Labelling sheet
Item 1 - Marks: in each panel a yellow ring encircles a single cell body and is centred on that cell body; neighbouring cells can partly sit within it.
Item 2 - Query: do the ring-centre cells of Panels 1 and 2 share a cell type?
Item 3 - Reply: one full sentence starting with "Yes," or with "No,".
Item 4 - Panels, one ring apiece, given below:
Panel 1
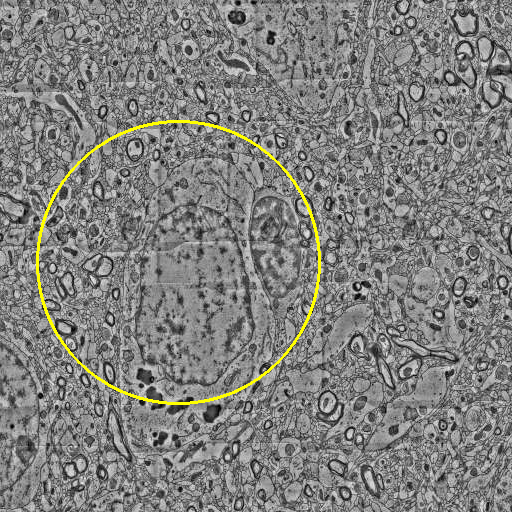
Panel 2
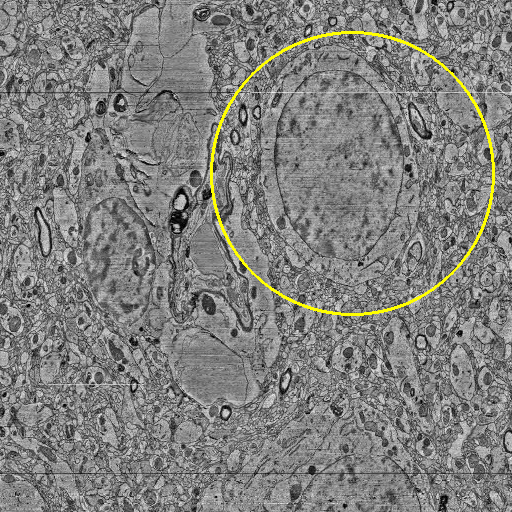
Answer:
No, Panel 1 and Panel 2 show two cell types at the centres of their rings.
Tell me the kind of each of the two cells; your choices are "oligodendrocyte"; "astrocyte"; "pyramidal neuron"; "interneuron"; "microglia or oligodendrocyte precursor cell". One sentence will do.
The ringed cell is an interneuron in the first picture and a pyramidal neuron in the second picture.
